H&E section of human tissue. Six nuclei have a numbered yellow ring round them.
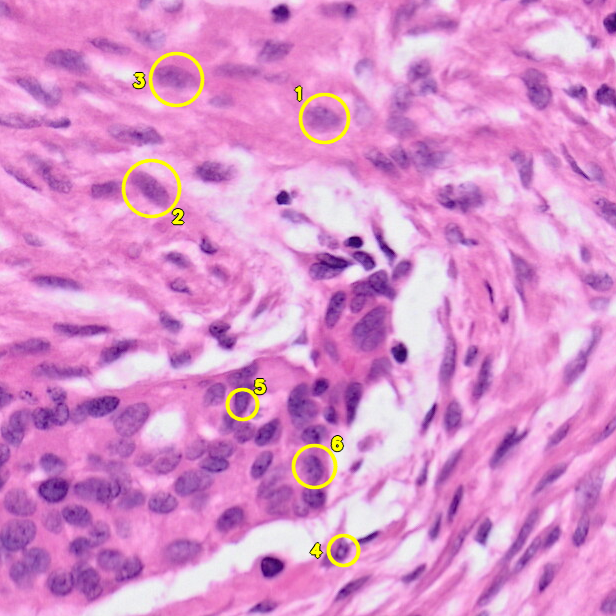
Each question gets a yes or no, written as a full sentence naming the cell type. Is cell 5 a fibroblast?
No, number 5 identifies a carcinoma cell, not a fibroblast.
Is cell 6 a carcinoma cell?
Yes, exactly, the cell numbered 6 is a carcinoma cell.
